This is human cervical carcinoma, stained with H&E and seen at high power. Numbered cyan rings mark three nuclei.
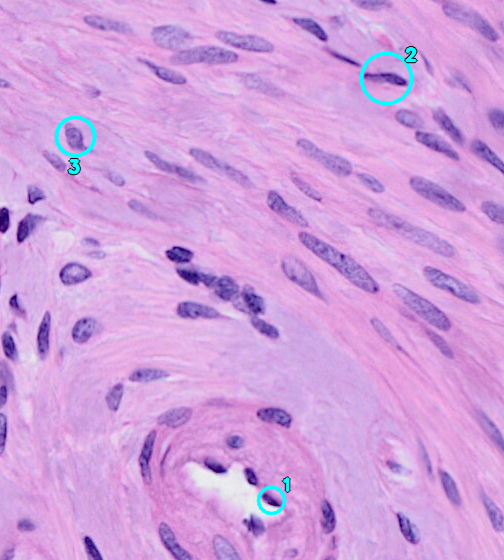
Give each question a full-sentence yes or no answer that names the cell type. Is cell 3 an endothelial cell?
No, cell 3 is a fibroblast; it is not an endothelial cell.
